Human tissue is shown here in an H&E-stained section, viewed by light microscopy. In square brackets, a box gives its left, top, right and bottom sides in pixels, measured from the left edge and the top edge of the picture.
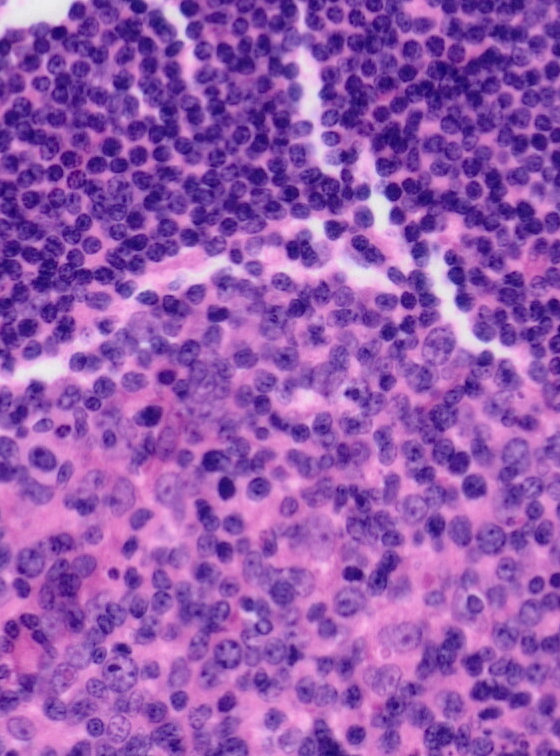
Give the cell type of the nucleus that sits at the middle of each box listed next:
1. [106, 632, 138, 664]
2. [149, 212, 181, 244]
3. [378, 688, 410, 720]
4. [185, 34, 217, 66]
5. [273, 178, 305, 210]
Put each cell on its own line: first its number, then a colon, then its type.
1: proliferating B cell
2: small lymphocyte
3: proliferating B cell
4: small lymphocyte
5: small lymphocyte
